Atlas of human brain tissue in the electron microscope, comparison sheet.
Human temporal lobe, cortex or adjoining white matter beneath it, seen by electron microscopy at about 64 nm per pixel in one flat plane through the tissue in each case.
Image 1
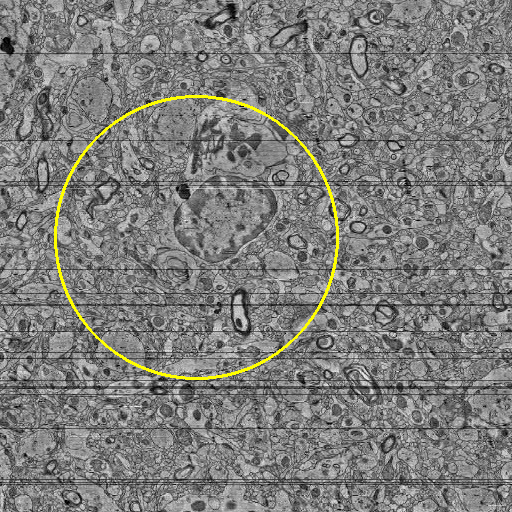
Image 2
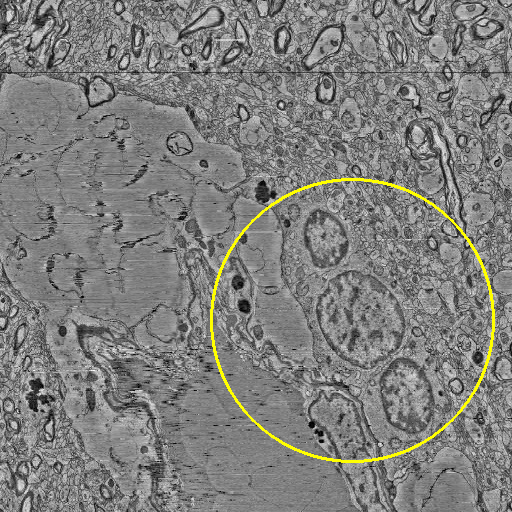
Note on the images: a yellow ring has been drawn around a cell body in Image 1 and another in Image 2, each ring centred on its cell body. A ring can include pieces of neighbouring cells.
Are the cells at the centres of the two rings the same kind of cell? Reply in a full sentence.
No, the two cells are of two kinds.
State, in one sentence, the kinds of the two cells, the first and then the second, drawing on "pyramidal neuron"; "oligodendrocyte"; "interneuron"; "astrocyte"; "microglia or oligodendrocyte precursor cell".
The ring in the second picture is centred on an oligodendrocyte, the ring in the first on a microglial cell or oligodendrocyte precursor cell.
